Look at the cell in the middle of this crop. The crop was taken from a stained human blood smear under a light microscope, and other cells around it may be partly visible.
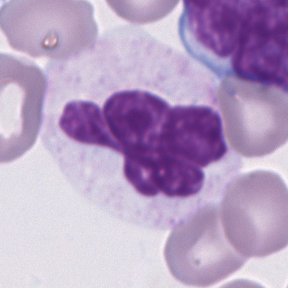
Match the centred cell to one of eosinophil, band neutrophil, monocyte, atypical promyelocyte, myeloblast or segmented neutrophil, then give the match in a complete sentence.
In the center of this field lies a segmented neutrophil.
